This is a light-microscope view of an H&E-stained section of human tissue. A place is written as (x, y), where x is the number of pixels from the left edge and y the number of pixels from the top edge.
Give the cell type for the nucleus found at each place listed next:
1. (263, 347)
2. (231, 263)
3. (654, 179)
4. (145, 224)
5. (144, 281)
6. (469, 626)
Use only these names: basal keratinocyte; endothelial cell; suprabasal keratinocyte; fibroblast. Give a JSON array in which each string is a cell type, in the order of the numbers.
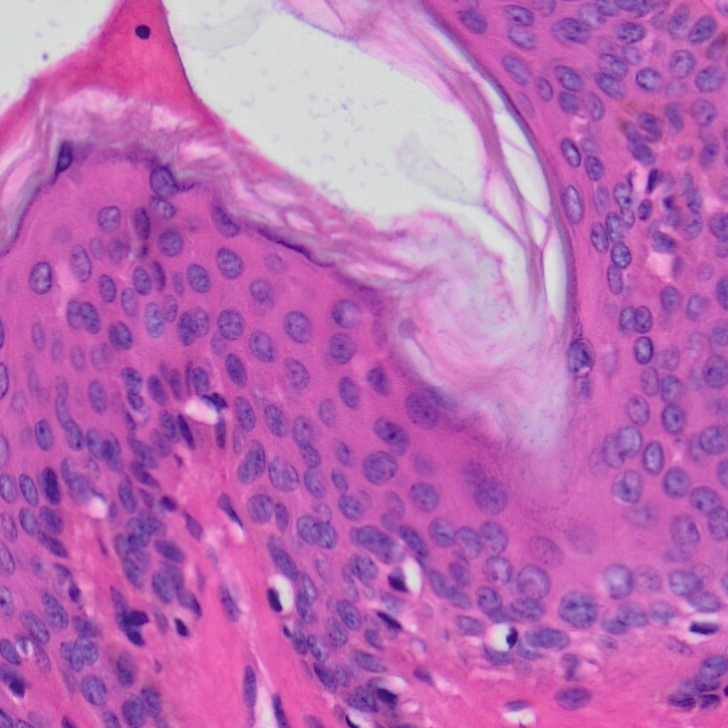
["suprabasal keratinocyte", "suprabasal keratinocyte", "basal keratinocyte", "suprabasal keratinocyte", "suprabasal keratinocyte", "basal keratinocyte"]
